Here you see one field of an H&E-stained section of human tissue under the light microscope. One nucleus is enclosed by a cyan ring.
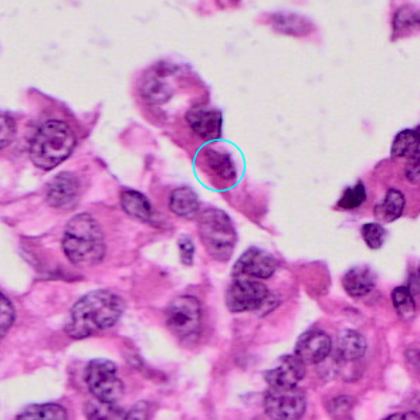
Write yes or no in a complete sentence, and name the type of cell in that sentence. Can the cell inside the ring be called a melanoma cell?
Yes, where cell type is concerned, the cell inside the ring is a melanoma cell.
